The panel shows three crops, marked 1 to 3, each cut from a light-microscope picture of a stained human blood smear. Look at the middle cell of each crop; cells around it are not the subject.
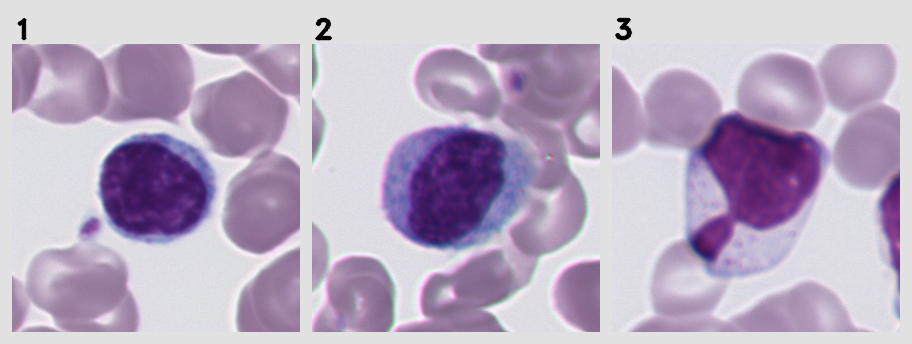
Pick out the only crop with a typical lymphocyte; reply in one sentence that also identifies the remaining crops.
In the set, crop 1 shows a typical lymphocyte, whereas crop 2 is a monocyte and crop 3 is a large granular lymphocyte.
